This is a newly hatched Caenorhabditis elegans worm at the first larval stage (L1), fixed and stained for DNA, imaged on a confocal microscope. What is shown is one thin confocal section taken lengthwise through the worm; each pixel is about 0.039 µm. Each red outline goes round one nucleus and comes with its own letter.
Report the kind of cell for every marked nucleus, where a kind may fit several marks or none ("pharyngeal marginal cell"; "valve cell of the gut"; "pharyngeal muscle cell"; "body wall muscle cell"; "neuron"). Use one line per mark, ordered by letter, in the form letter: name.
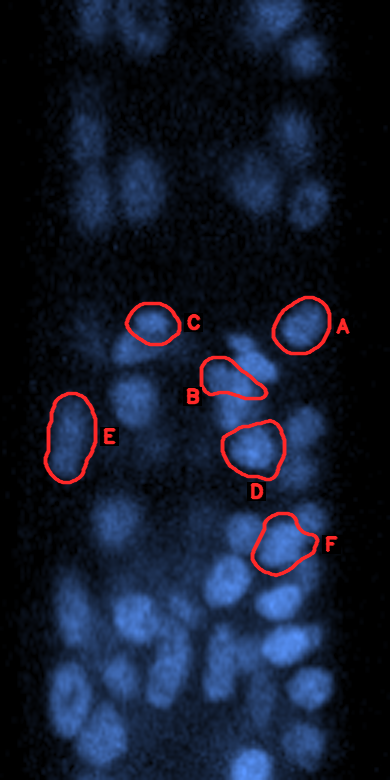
A: neuron
B: pharyngeal muscle cell
C: valve cell of the gut
D: pharyngeal marginal cell
E: body wall muscle cell
F: neuron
